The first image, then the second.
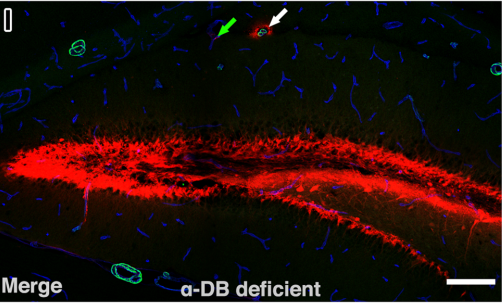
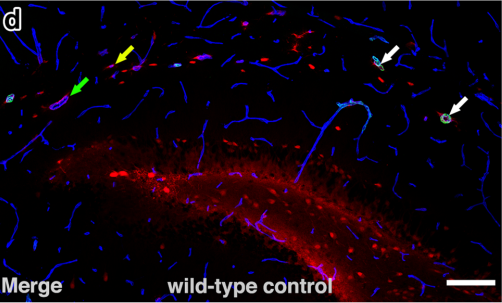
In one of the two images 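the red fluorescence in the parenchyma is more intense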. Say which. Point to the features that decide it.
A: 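Second image: the curved band of red label is moderate, with individual red cell bodies dimly standing out. First image: the curved band of red label is bright and saturated. So: the first image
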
